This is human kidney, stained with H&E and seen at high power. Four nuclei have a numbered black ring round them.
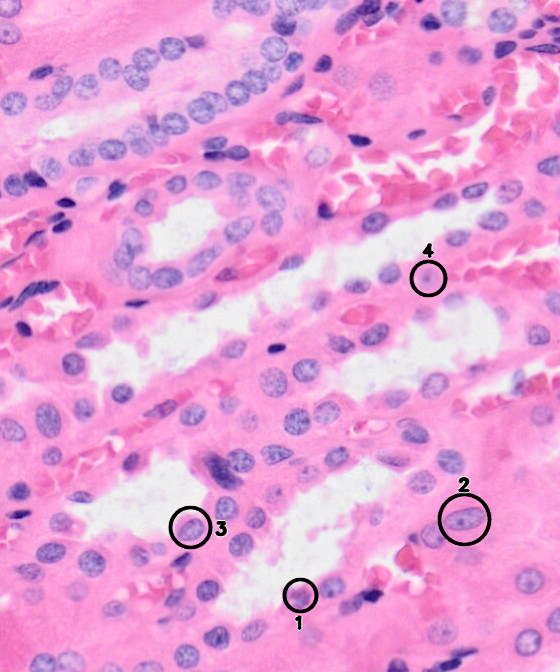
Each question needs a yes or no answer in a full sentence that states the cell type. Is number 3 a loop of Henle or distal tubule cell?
Yes, correct, the cell with the number 3 is a loop of Henle or distal tubule cell.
